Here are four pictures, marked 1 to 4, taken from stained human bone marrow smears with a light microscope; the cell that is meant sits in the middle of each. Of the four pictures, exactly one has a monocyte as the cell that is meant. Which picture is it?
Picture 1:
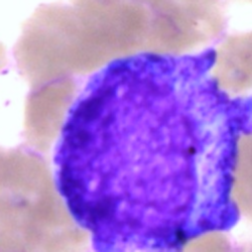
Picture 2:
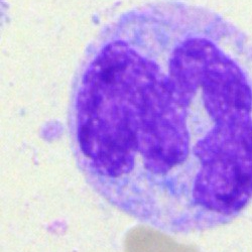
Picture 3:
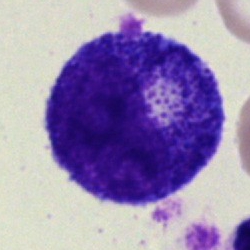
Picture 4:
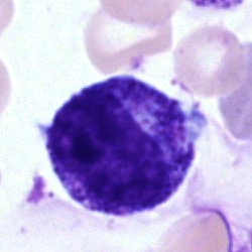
2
